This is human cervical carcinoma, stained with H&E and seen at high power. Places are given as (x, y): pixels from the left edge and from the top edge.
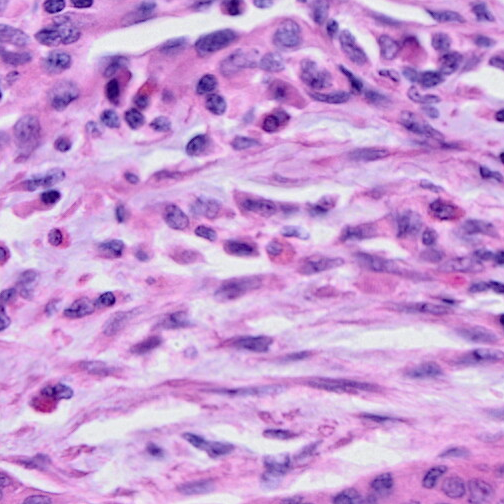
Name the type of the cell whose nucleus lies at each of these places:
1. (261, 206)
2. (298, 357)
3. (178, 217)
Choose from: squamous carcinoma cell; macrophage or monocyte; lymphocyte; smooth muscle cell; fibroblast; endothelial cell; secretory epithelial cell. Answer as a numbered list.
1. macrophage or monocyte
2. fibroblast
3. macrophage or monocyte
